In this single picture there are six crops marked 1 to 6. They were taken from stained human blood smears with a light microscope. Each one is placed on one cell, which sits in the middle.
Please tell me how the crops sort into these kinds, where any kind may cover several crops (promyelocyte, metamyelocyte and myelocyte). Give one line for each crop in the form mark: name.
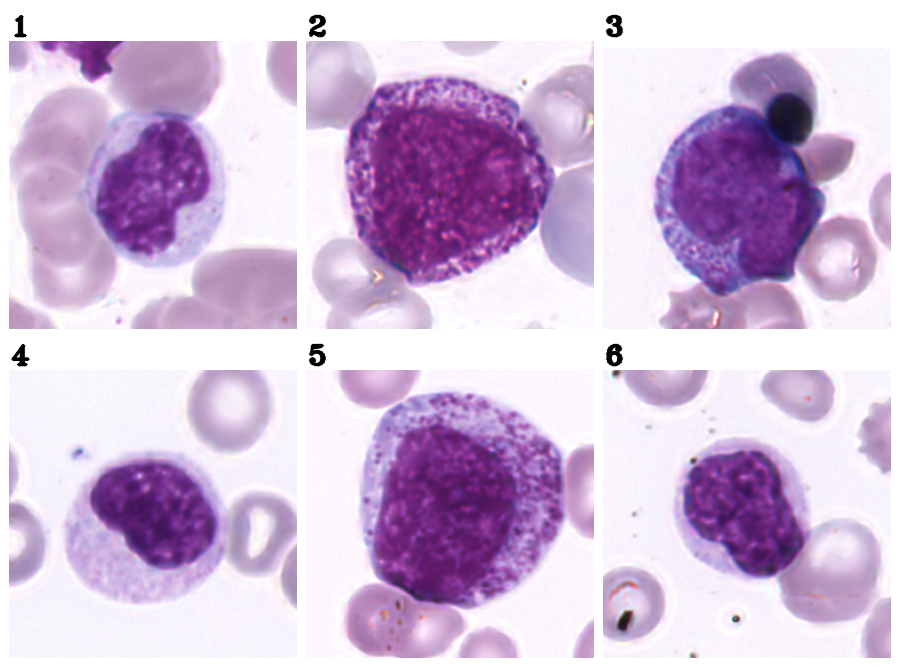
1: metamyelocyte
2: promyelocyte
3: promyelocyte
4: metamyelocyte
5: promyelocyte
6: metamyelocyte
